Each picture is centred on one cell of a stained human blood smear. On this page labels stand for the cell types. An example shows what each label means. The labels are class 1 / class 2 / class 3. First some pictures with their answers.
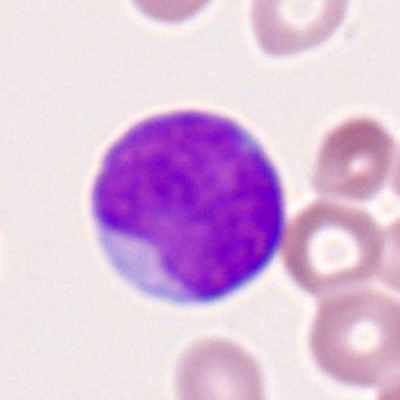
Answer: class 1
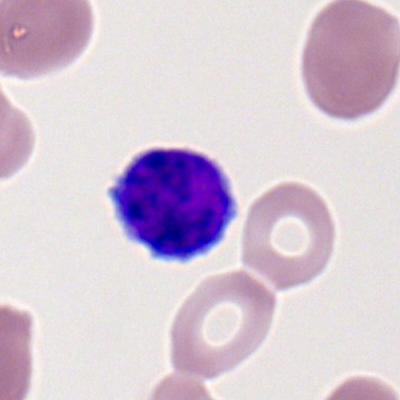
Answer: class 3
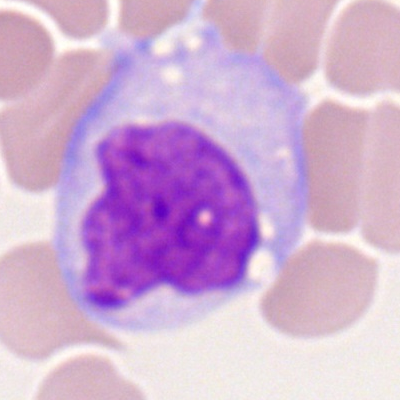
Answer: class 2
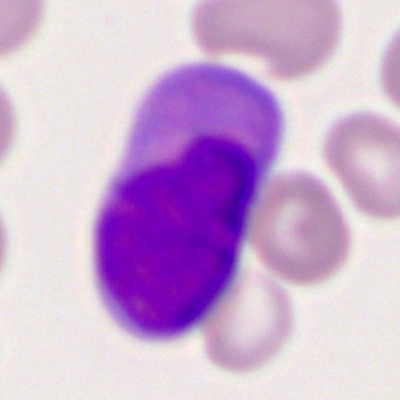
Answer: class 1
